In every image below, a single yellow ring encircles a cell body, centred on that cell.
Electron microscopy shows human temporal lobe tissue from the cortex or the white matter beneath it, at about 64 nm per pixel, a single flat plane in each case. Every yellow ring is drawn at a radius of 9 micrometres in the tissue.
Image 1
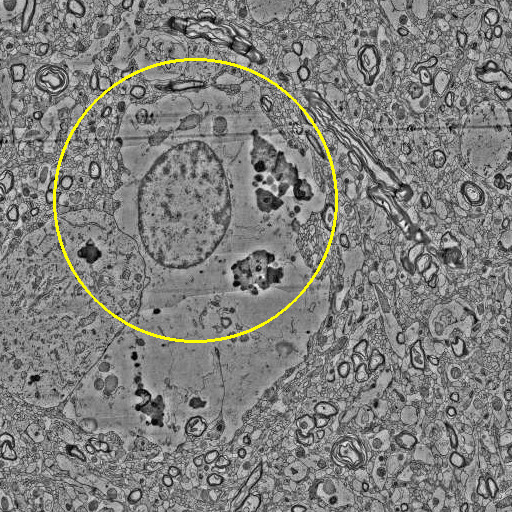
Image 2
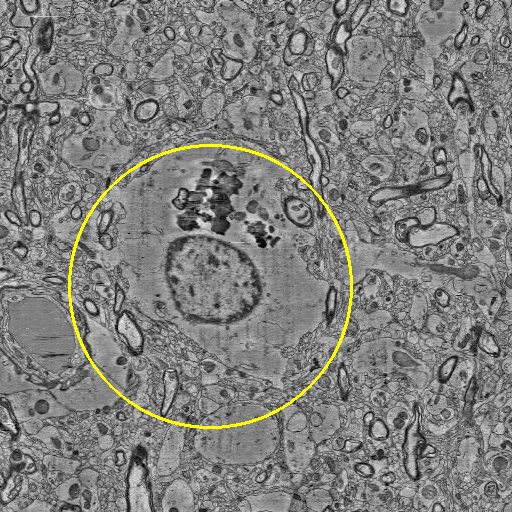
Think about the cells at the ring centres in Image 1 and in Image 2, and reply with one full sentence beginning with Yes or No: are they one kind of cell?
Yes, the cells centred in the rings of Image 1 and Image 2 are one kind of cell.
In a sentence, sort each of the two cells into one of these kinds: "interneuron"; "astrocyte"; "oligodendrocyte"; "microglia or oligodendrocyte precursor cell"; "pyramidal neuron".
In both pictures the ring is centred on an astrocyte.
